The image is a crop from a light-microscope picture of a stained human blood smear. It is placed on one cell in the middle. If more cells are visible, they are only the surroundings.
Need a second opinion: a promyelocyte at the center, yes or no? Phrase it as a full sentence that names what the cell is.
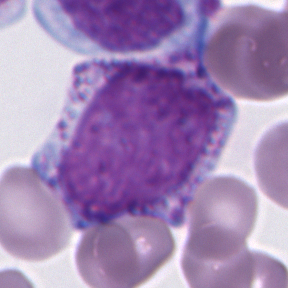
Yes, the centrally placed cell is a promyelocyte.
